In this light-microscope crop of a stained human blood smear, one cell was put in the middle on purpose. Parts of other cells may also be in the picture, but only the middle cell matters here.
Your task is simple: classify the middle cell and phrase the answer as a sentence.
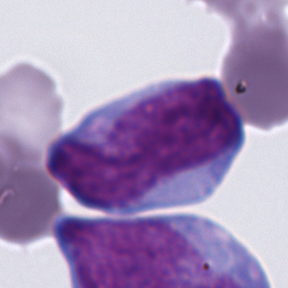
On this slide crop, the central cell is a blast.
